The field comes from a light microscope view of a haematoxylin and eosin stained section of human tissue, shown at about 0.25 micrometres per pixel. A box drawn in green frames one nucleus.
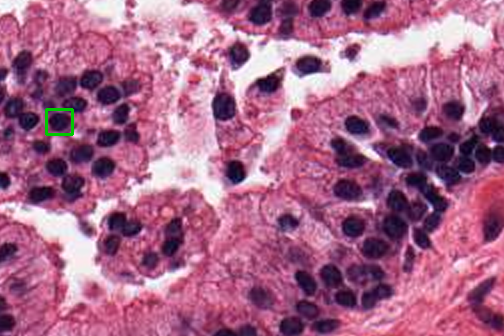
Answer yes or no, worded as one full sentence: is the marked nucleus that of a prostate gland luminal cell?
Yes, the marked nucleus is a part of a prostate gland luminal cell.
